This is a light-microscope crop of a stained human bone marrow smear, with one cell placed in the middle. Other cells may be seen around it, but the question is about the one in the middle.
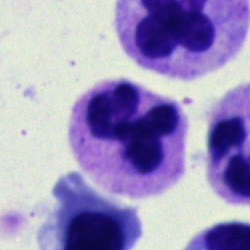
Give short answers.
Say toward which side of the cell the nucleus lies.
top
